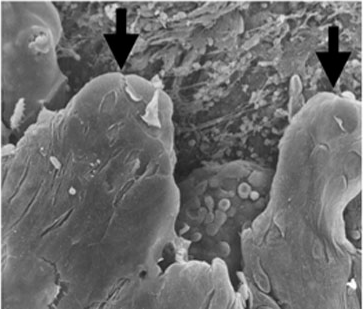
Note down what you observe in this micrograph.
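The epithelial sheet ends in thick, rounded tongues whose margins stand up above the underlying fibrous surface rather than lying flat. The upper surfaces of the tongues are smooth with fine folds and a few small adherent flakes. Between the tongues lies a recess containing small rounded bodies on the fibrous substrate. The stroma behind the edge shows a loose meshwork of fibres.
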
